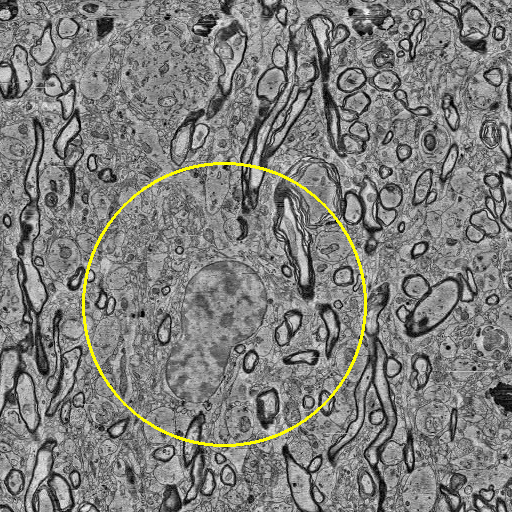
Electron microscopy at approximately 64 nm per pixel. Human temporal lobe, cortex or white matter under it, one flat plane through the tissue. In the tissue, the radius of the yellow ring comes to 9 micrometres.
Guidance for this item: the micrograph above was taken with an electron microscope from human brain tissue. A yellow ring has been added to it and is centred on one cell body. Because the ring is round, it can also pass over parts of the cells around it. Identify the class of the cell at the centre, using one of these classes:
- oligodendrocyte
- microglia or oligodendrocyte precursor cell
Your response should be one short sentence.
The ring surrounds the body of a microglial cell or oligodendrocyte precursor cell.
